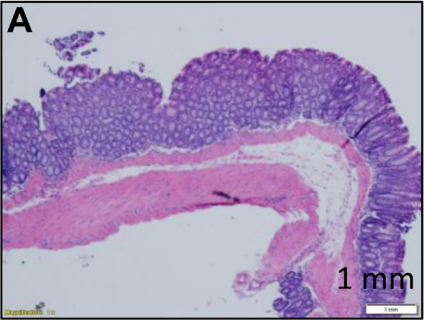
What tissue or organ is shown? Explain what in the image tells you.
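Normal colon. A pink muscle layer lies beneath the mucosa.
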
